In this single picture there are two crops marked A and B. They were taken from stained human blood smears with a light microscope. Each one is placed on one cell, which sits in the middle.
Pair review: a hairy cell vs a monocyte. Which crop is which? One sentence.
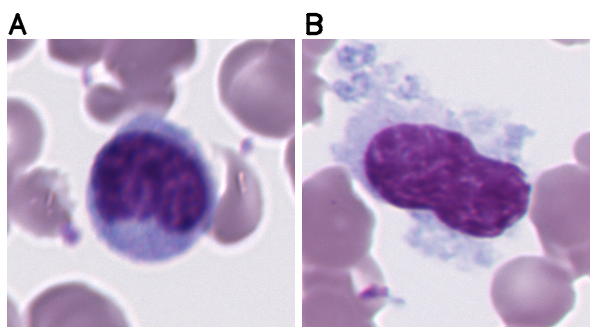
Whereas crop A contains a monocyte, crop B contains a hairy cell.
